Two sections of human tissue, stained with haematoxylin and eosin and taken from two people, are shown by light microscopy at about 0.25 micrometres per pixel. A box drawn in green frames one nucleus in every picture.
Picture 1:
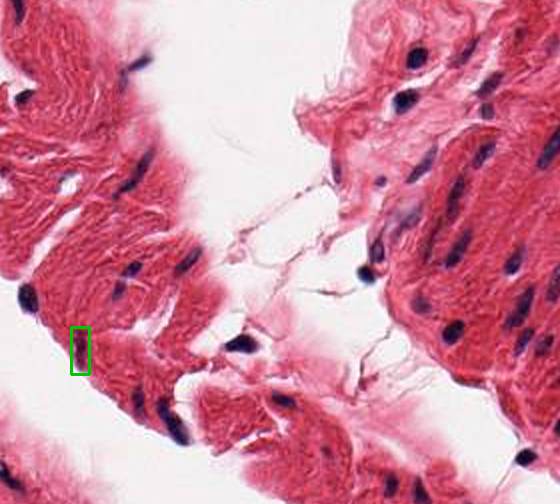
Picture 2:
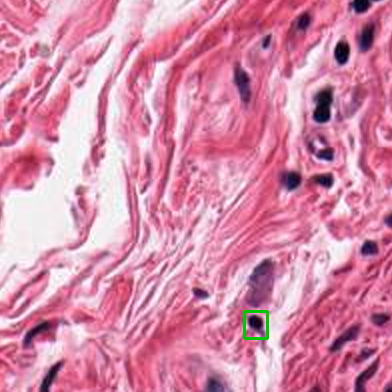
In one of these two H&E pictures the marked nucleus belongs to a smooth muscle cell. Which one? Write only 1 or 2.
1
